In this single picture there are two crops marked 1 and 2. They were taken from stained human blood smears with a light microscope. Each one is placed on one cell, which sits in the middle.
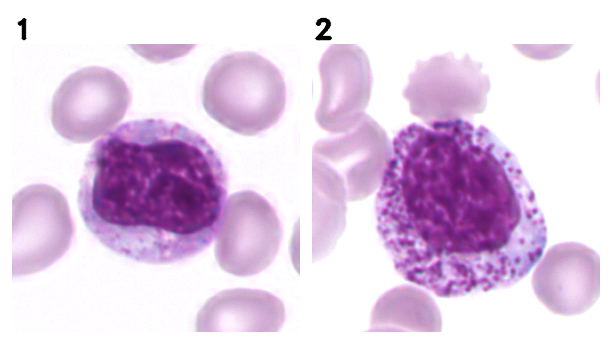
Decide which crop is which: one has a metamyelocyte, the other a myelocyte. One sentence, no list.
Crop 1 has been identified as a metamyelocyte, and crop 2 has been identified as a myelocyte.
